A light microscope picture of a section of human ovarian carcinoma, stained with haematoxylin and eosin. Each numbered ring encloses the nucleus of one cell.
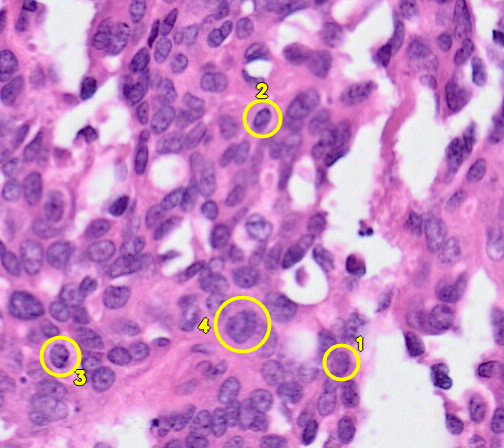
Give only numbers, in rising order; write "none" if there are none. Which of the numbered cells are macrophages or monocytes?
2, 3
